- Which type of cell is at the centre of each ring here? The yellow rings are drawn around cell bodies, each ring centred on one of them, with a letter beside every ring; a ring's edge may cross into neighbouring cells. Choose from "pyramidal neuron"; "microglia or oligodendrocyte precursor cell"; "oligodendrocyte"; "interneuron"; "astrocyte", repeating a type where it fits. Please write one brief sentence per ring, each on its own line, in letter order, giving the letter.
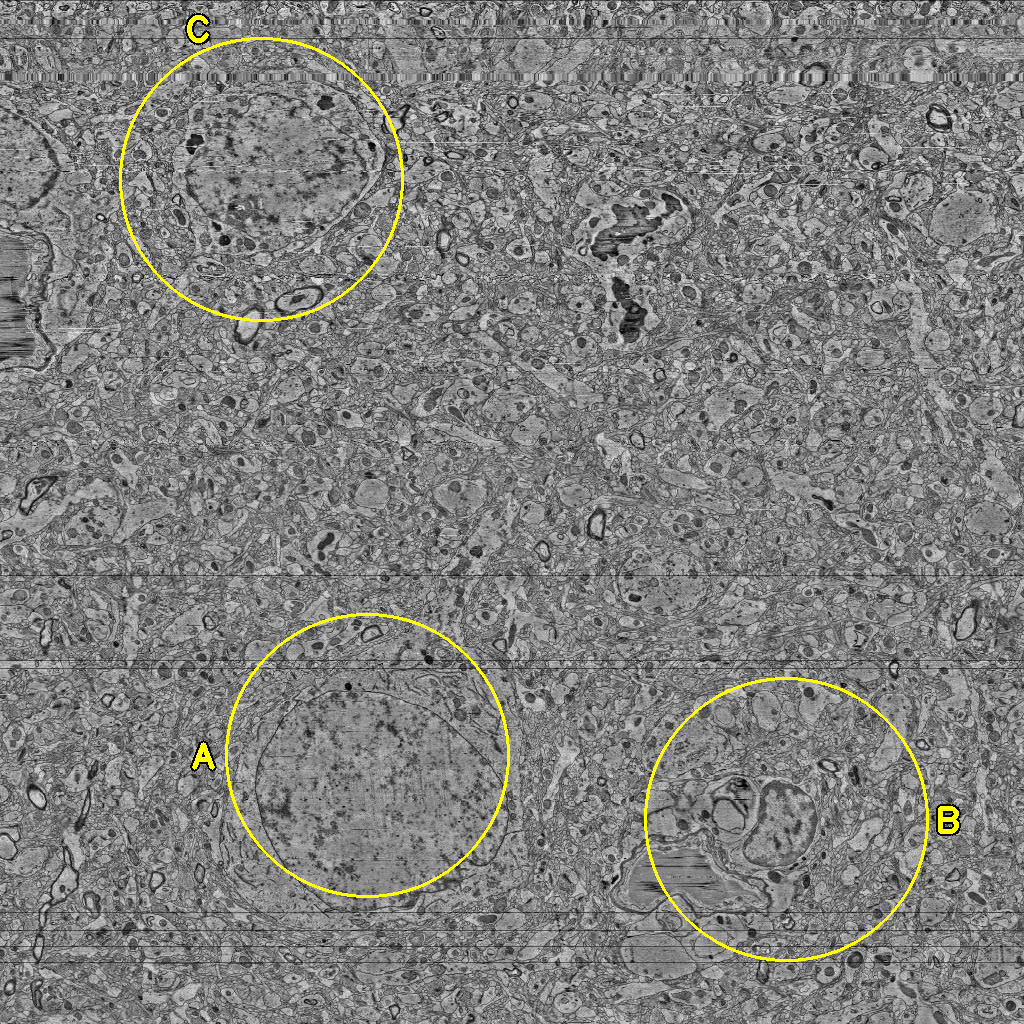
Ring A is centred over a pyramidal neuron.
Ring B is centred over a microglial cell or oligodendrocyte precursor cell.
Ring C is centred over an interneuron.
